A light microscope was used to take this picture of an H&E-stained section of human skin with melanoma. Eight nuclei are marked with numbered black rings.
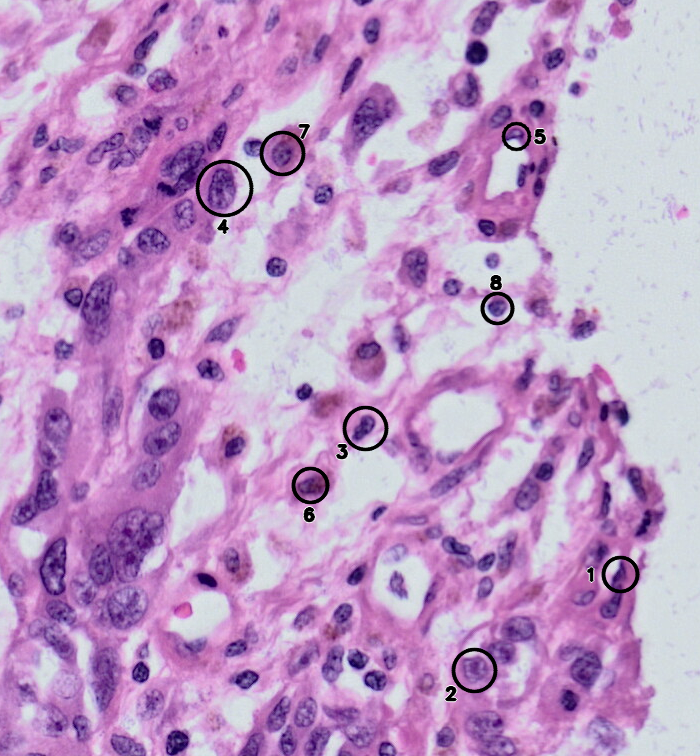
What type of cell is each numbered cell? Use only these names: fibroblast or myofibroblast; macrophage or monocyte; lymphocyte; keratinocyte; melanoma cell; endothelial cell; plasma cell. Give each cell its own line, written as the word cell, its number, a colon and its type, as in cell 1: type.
cell 1: endothelial cell
cell 2: melanoma cell
cell 3: lymphocyte
cell 4: melanoma cell
cell 5: endothelial cell
cell 6: macrophage or monocyte
cell 7: macrophage or monocyte
cell 8: lymphocyte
